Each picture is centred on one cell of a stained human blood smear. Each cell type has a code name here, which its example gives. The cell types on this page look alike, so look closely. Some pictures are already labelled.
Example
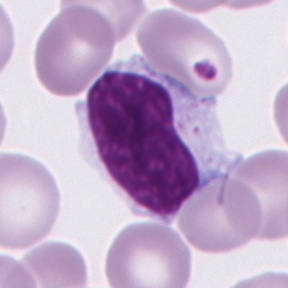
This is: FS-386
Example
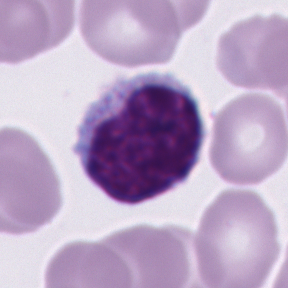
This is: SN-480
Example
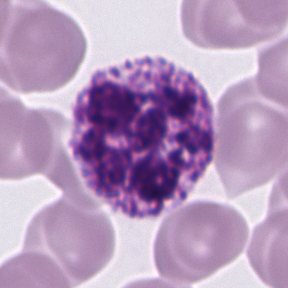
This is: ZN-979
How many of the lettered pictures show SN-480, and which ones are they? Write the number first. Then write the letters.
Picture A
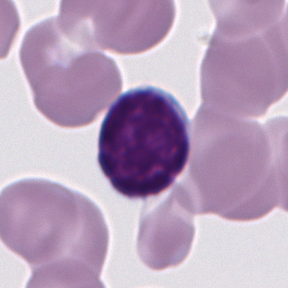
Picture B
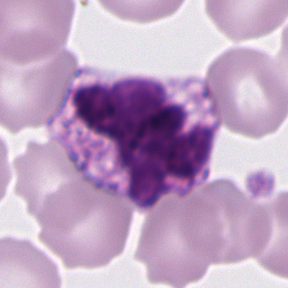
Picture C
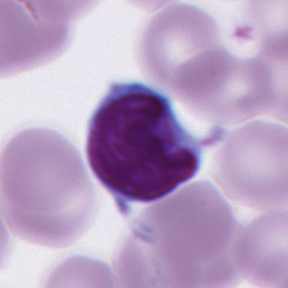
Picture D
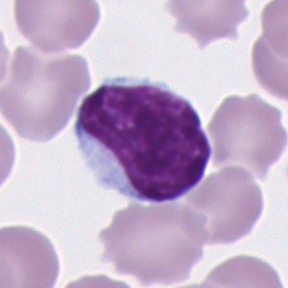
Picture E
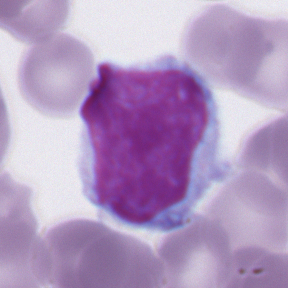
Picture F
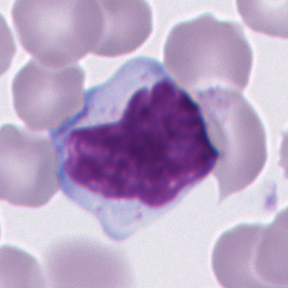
4, namely A, C, D, E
